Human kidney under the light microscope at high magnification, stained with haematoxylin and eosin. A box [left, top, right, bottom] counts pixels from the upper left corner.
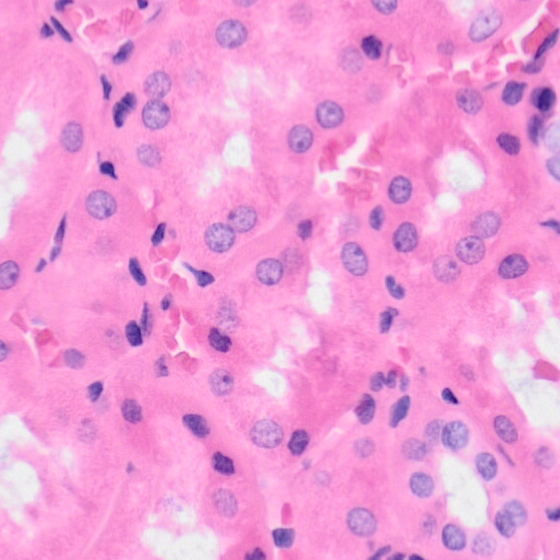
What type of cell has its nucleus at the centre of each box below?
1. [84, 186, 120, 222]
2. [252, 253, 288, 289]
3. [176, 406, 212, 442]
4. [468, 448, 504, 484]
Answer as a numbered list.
1. proximal tubule cell
2. proximal tubule cell
3. proximal tubule cell
4. collecting duct cell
